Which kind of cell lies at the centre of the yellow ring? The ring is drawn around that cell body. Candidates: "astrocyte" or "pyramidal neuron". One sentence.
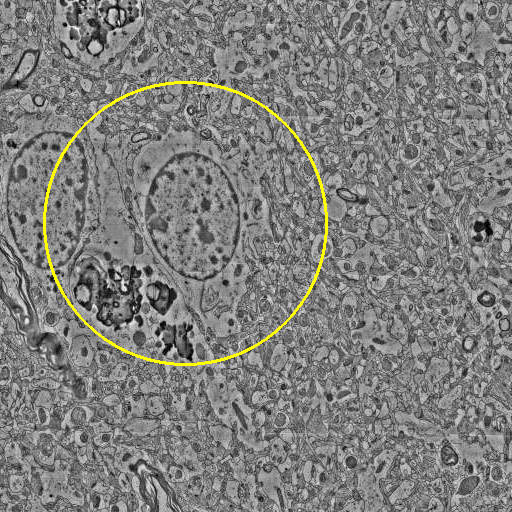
Lying at the centre of the ring is an astrocyte.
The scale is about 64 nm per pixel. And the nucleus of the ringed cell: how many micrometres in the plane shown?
The nucleus appears roughly 8 by 6 micrometres in this plane.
